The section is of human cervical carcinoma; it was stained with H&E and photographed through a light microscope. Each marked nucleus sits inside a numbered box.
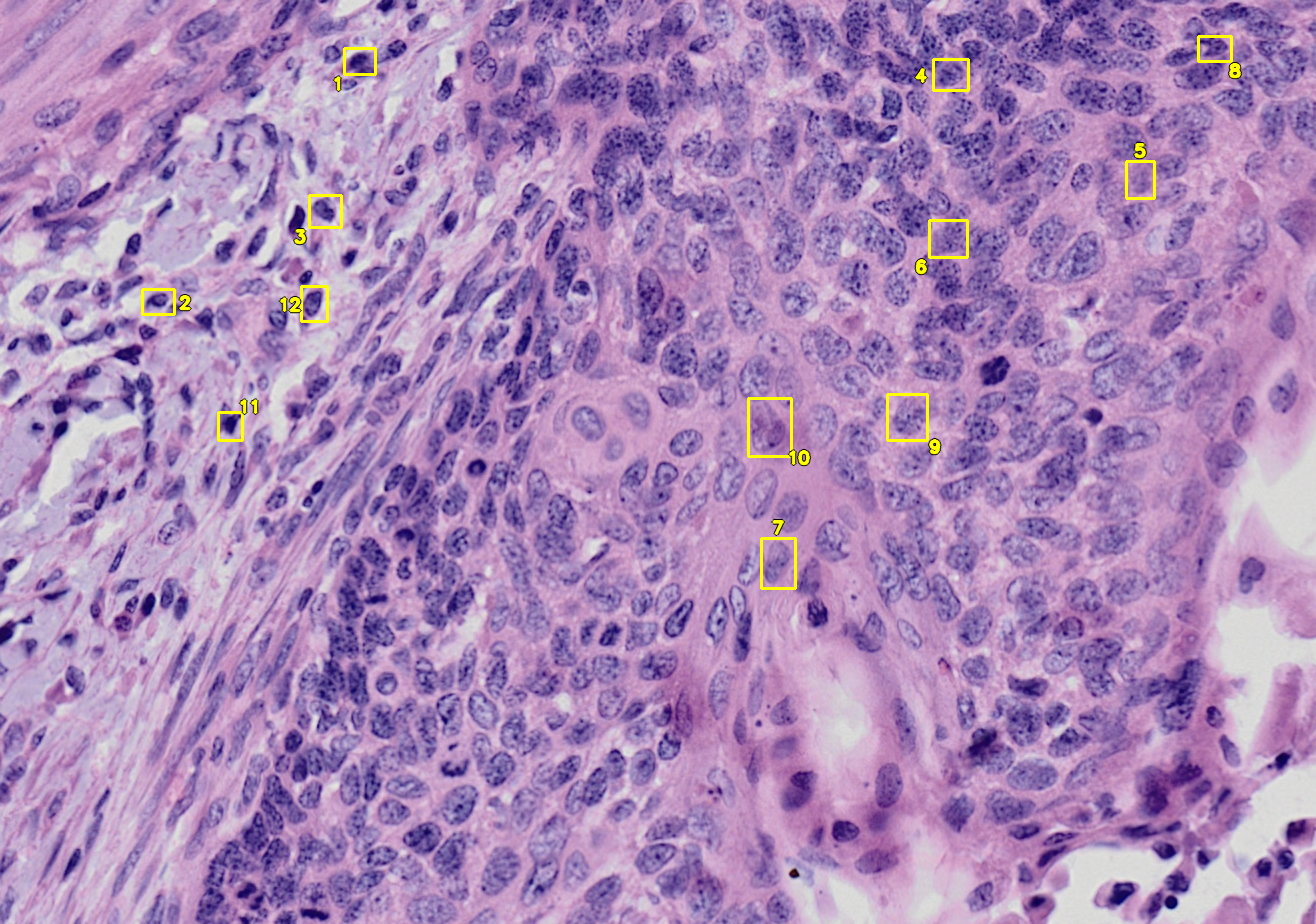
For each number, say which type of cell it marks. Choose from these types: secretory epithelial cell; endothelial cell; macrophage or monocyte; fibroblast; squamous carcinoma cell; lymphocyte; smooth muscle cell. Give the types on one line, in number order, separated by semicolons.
lymphocyte; lymphocyte; lymphocyte; squamous carcinoma cell; squamous carcinoma cell; squamous carcinoma cell; squamous carcinoma cell; squamous carcinoma cell; squamous carcinoma cell; squamous carcinoma cell; lymphocyte; lymphocyte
